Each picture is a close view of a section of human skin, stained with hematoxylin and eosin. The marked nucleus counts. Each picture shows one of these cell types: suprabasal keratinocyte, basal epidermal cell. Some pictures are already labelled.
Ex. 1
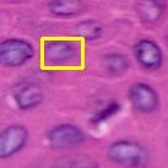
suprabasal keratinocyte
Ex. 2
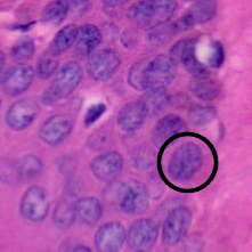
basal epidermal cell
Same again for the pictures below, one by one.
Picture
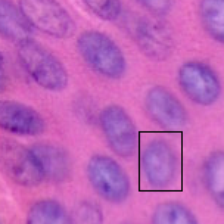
suprabasal keratinocyte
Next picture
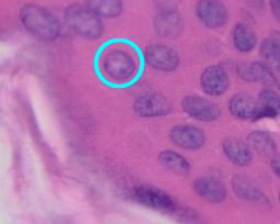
suprabasal keratinocyte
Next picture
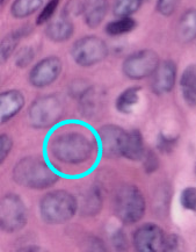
suprabasal keratinocyte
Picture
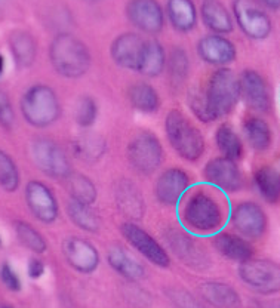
basal epidermal cell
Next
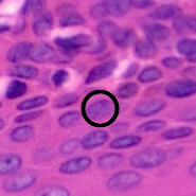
basal epidermal cell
